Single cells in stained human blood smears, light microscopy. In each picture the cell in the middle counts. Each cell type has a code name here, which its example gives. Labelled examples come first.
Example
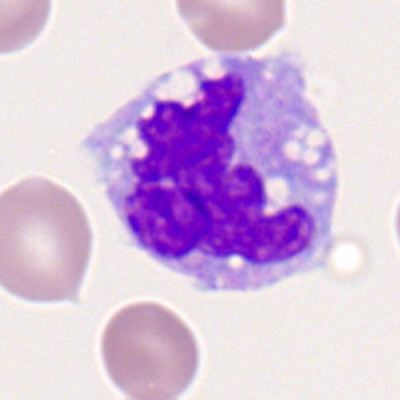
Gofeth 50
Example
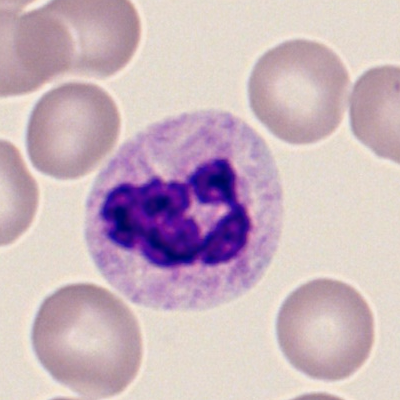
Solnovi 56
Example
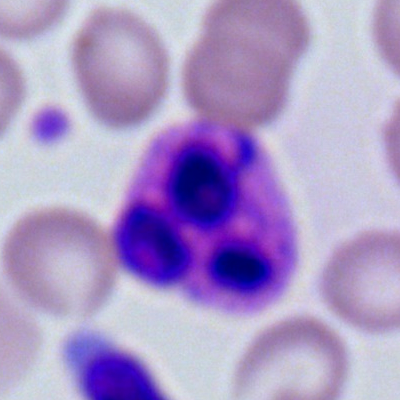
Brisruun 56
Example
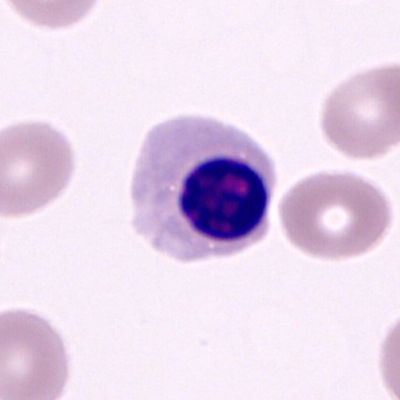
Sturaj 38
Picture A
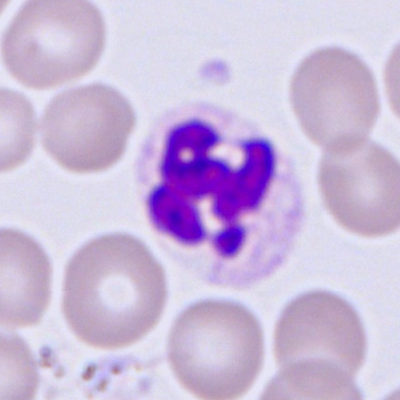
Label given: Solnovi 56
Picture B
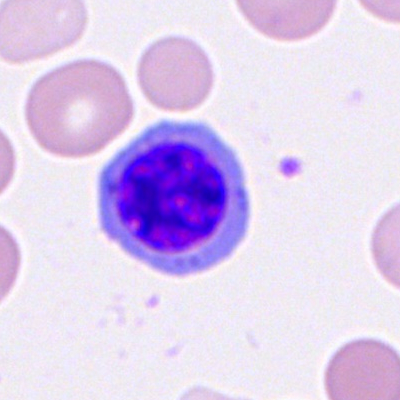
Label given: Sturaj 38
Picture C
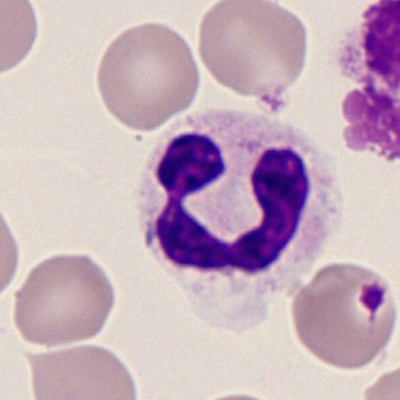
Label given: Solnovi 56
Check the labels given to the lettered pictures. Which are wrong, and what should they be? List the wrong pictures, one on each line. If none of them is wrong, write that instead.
None of the labels needs changing.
